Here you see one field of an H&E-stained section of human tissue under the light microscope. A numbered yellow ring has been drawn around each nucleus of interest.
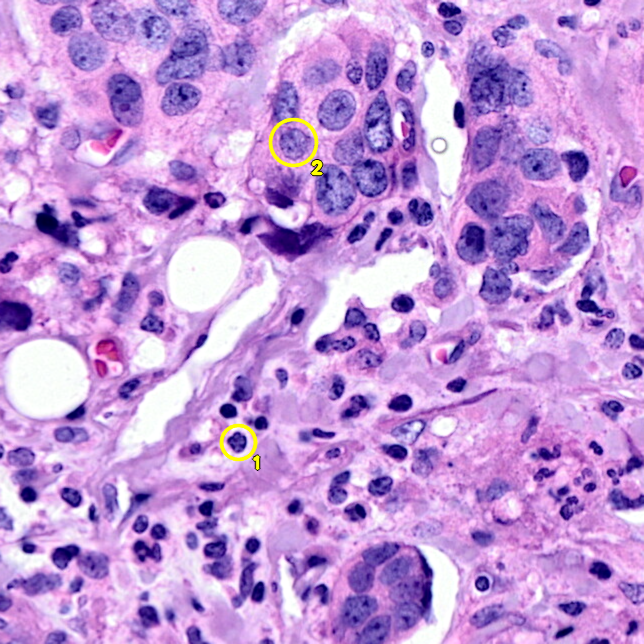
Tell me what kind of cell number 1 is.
lymphocyte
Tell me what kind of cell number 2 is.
carcinoma cell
